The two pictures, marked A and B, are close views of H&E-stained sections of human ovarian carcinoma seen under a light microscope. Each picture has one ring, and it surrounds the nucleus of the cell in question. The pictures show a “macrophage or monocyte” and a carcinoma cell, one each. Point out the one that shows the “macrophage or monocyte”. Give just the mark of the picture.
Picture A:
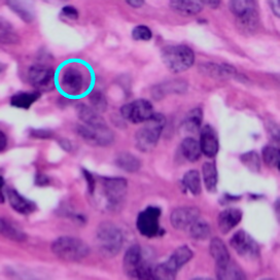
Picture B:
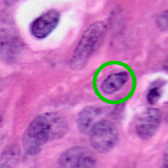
B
